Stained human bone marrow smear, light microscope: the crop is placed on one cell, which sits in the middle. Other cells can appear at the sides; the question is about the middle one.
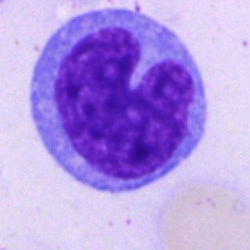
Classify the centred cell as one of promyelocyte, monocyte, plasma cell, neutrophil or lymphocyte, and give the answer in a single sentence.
This crop is built around a monocyte at its centre.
